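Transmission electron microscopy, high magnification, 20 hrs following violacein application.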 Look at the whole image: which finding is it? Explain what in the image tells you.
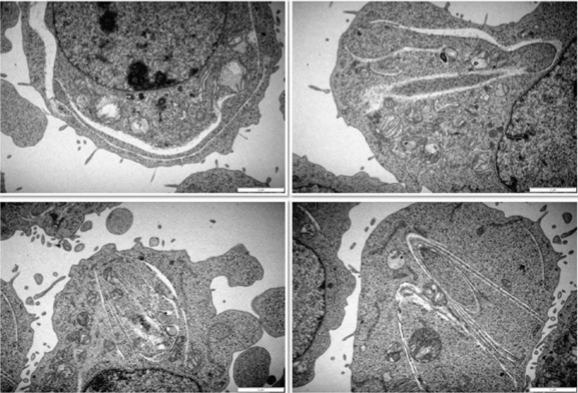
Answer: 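Long, straight or gently curved paired membranes run through the cytoplasm. The membrane profiles are stretched into parallel lines and elongated loops rather than short stacks or small cisternae.
Hence: endoplasmic reticulum and Golgi linearization.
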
